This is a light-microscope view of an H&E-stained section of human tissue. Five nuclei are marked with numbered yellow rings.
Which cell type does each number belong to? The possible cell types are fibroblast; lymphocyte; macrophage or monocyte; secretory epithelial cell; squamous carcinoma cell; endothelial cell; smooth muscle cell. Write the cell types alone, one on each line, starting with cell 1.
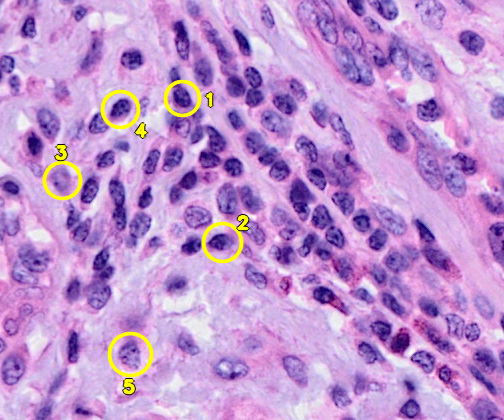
lymphocyte
lymphocyte
macrophage or monocyte
lymphocyte
macrophage or monocyte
